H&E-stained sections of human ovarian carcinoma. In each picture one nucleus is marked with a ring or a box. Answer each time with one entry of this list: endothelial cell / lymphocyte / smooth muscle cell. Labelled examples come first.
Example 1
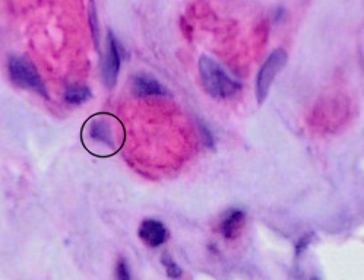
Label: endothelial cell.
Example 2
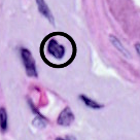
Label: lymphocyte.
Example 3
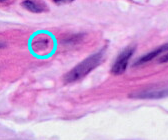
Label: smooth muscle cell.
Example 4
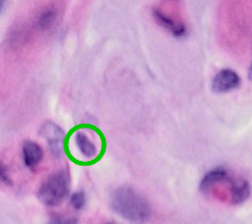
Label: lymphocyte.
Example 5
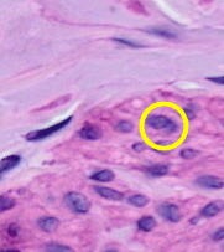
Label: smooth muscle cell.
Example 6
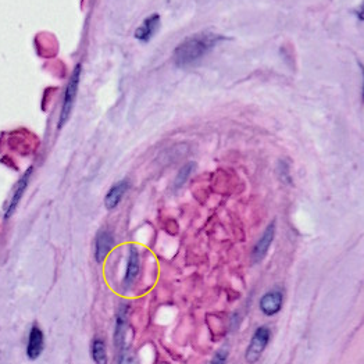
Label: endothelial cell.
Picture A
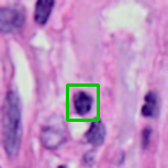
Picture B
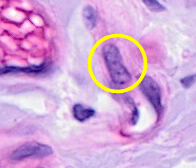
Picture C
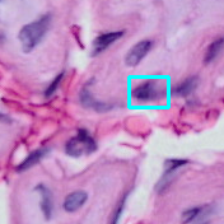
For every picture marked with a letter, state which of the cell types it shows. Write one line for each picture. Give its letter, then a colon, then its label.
A: lymphocyte.
B: endothelial cell.
C: endothelial cell.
